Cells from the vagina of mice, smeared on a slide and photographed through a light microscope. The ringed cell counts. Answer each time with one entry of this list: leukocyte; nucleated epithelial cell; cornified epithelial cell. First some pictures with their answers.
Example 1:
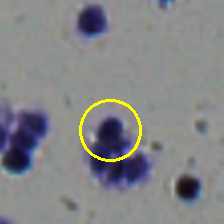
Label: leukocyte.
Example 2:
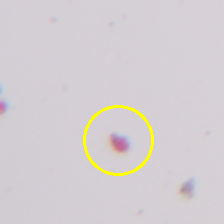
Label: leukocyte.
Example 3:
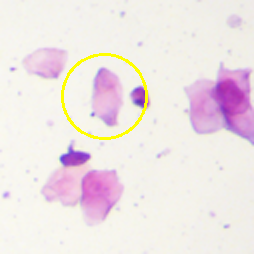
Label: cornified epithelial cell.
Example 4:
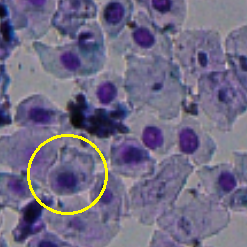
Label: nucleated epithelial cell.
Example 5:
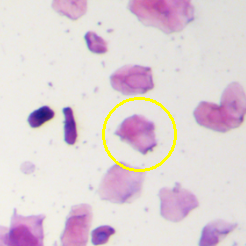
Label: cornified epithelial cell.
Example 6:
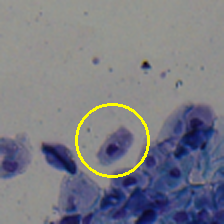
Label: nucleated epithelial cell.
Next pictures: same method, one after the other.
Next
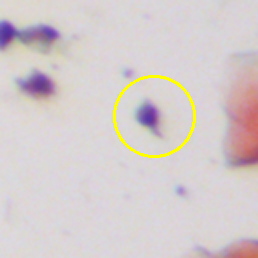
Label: leukocyte.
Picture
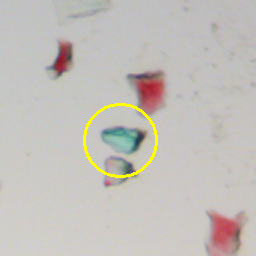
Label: cornified epithelial cell.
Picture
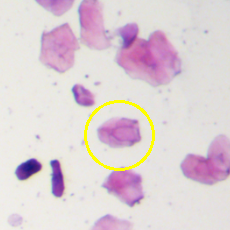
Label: cornified epithelial cell.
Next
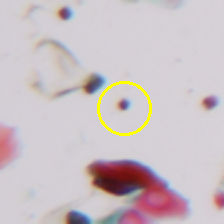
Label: leukocyte.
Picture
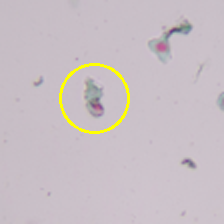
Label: nucleated epithelial cell.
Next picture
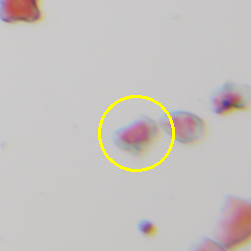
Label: nucleated epithelial cell.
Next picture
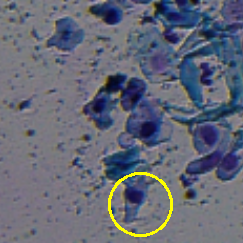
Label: nucleated epithelial cell.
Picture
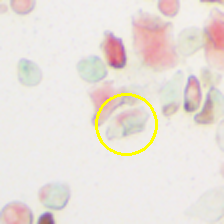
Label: cornified epithelial cell.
